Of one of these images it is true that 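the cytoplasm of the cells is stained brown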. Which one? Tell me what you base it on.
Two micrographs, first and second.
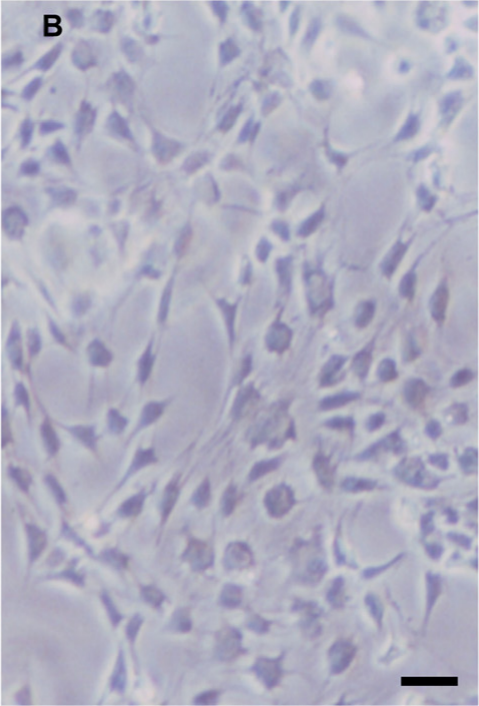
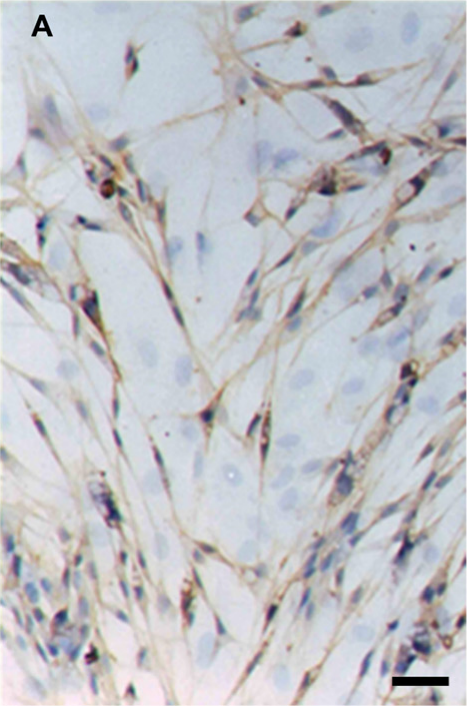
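Second image: elongated spindle-shaped cells and their processes are stained brown.
Answer: the second image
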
